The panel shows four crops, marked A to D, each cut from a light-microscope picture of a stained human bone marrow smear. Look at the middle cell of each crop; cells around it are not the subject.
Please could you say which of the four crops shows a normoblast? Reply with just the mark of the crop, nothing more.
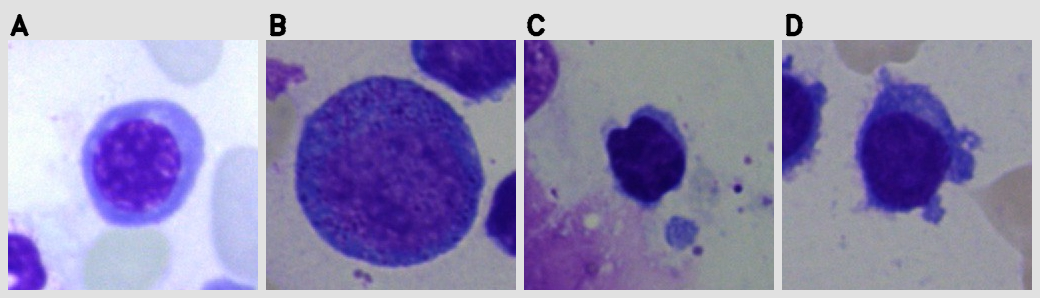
A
